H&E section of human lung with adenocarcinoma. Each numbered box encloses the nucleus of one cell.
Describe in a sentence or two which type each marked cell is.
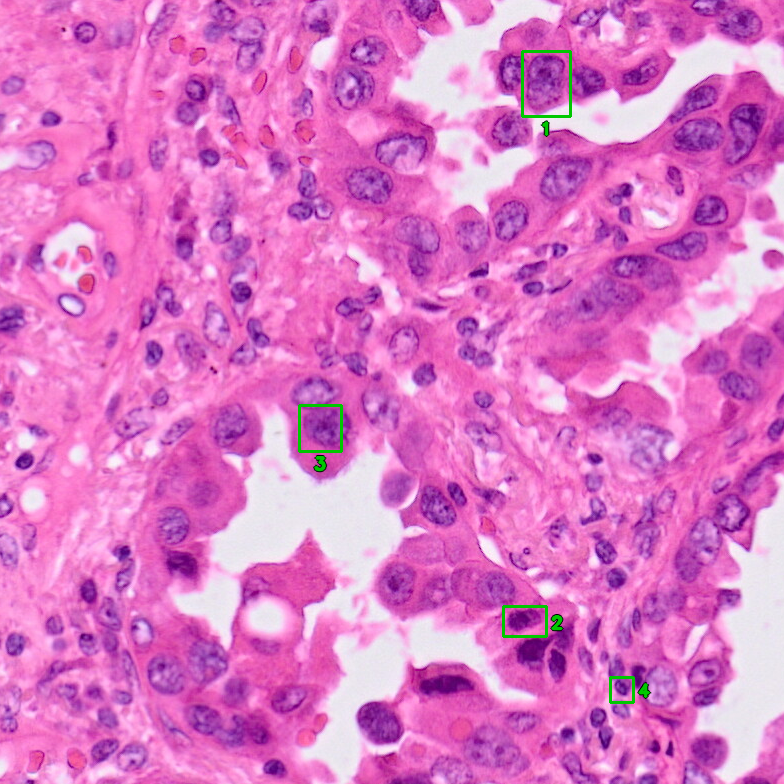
Cell 1 is a carcinoma cell, cell 2 is a carcinoma cell, cell 3 is a carcinoma cell and cell 4 is a lymphocyte.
